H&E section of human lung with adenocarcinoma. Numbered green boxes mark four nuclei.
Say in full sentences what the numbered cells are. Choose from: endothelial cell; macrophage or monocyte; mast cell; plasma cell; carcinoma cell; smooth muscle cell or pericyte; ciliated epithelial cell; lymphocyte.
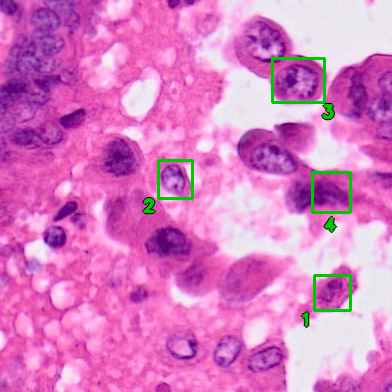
Cells 1 and 2 are macrophages or monocytes. Cells 3 and 4 are carcinoma cells.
